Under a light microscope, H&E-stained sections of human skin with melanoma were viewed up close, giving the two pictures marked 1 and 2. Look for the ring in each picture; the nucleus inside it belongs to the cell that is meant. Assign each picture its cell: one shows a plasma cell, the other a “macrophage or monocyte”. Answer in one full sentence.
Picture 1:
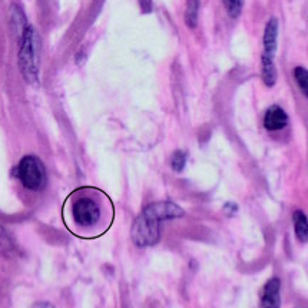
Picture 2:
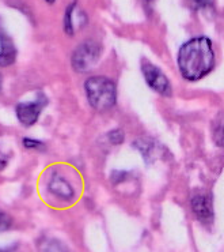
Picture 1 shows a plasma cell and picture 2 shows a “macrophage or monocyte”.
